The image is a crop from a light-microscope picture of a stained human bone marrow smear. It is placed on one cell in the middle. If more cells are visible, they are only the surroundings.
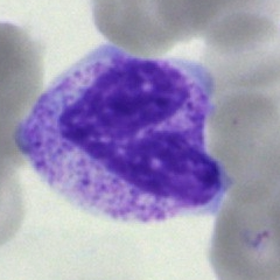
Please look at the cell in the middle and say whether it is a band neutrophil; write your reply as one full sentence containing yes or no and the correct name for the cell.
Yes, the cell here in the middle is a band neutrophil.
